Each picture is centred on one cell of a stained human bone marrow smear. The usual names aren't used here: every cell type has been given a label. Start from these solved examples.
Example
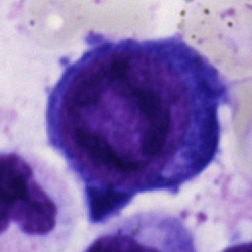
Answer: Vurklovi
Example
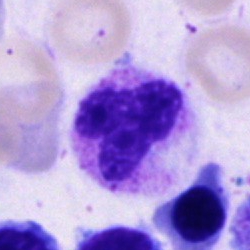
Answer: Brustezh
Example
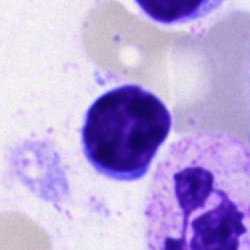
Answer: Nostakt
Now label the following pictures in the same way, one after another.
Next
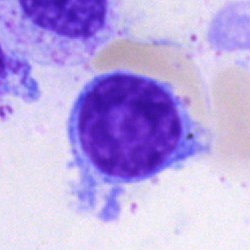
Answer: Nostakt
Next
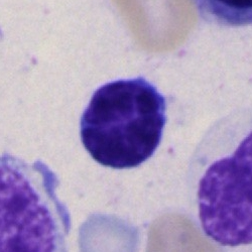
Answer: Nostakt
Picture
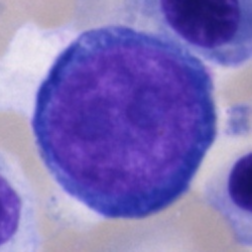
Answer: Vurklovi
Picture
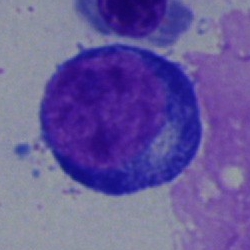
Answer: Vurklovi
